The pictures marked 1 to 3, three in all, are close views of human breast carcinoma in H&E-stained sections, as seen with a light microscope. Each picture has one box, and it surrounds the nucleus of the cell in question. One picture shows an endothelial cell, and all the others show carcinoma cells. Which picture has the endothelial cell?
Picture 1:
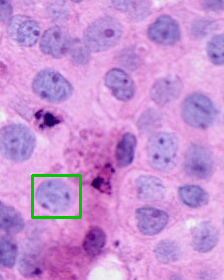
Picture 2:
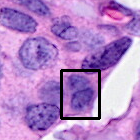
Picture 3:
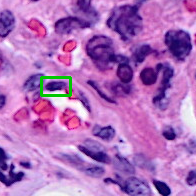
3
